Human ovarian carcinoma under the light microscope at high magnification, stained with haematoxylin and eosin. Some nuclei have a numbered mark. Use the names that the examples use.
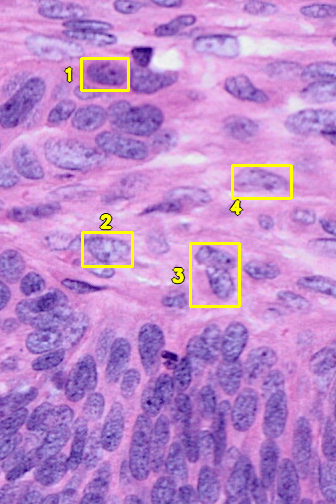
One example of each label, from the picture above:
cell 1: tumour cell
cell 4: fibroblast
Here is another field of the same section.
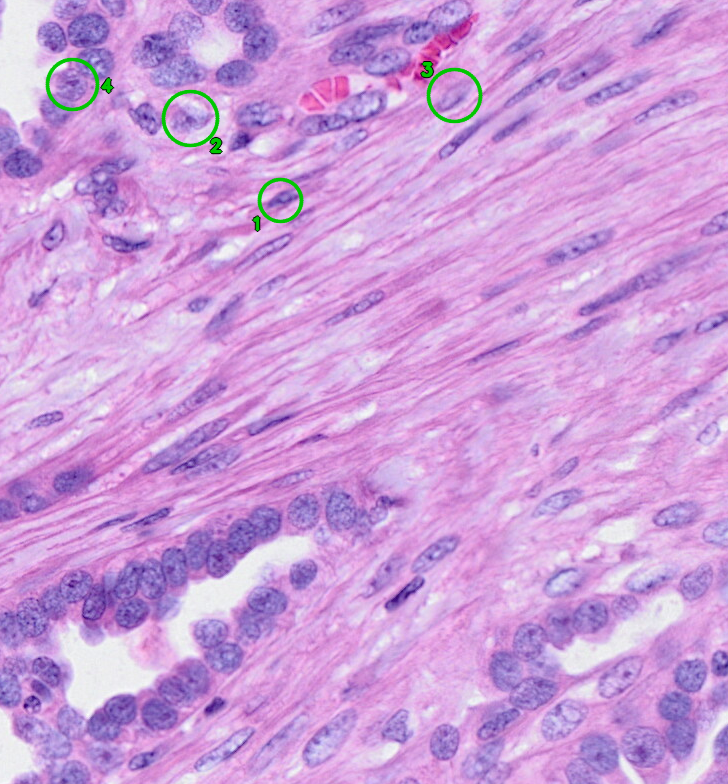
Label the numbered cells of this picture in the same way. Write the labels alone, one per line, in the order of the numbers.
fibroblast
fibroblast
fibroblast
tumour cell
